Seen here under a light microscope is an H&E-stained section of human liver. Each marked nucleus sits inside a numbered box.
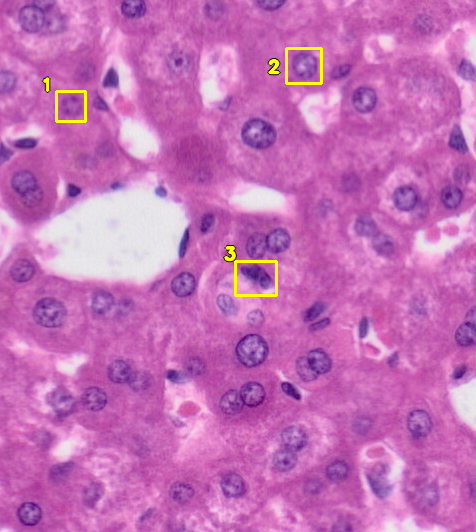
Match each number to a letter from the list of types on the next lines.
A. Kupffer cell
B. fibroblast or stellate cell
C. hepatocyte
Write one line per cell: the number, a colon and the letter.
1: C
2: C
3: B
